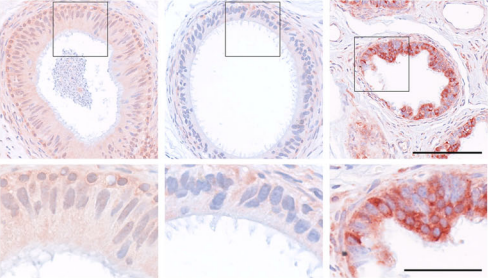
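On the left a tall pseudostratified columnar epithelium with elongated blue nuclei surrounds a lumen holding a clump of sperm, and its cytoplasm is faintly reddish. The middle tubule has a wide, empty lumen and an epithelium that stays almost entirely blue. On the right the epithelium is lower, the lumen irregular, and the cytoplasm of the lining cells is stained an intense red. Each tubule is wrapped in a thin layer of connective tissue with scattered small nuclei.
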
